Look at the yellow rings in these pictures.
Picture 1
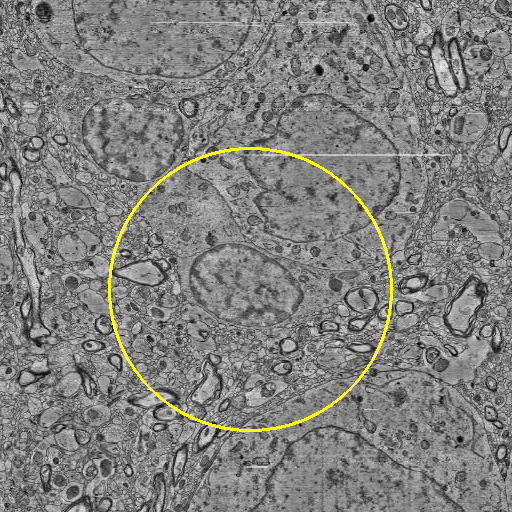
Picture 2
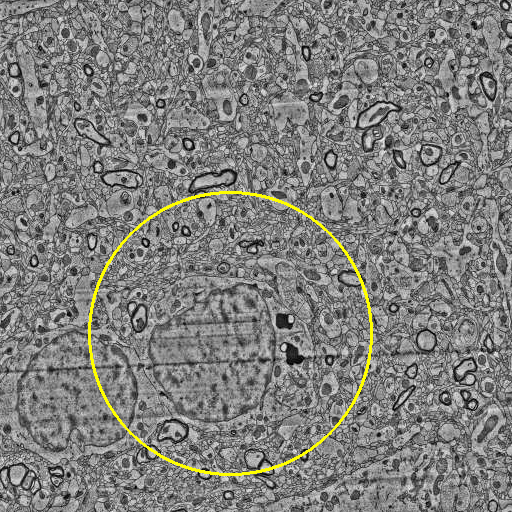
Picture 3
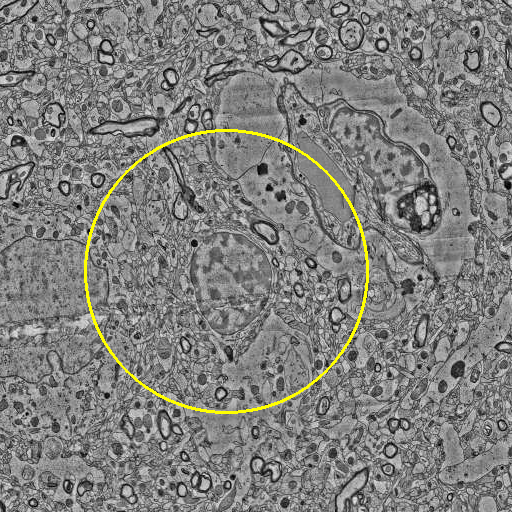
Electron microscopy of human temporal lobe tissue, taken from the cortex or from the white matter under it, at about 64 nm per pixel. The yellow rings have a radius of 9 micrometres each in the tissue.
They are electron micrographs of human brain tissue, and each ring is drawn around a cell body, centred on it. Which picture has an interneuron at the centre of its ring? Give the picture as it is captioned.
Picture 2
